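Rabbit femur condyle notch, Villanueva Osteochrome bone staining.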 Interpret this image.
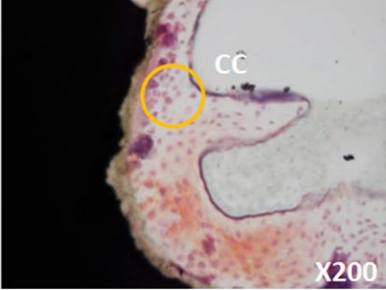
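Chondrocytes lie scattered in a pale matrix along a curved edge of tissue. The cells are rounded, with purple-stained nuclei, many sitting singly in small spaces, and are most crowded near the outer margin. Orange-pink staining spreads through part of the surrounding matrix.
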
